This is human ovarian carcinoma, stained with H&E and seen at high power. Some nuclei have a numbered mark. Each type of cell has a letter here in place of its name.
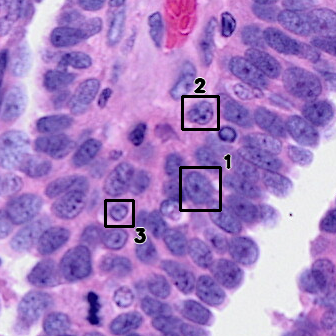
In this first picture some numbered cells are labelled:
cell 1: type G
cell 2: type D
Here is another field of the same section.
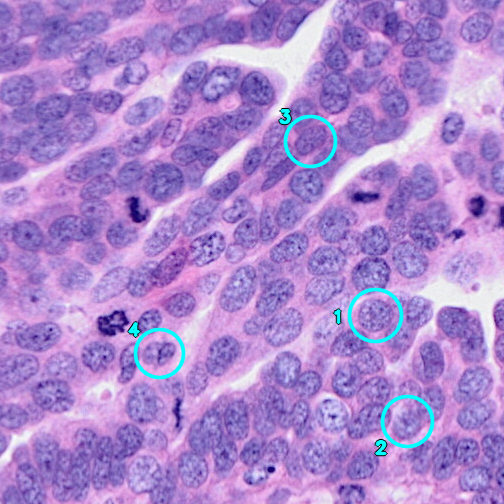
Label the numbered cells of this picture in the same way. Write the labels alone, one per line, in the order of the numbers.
type G
type G
type G
type D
